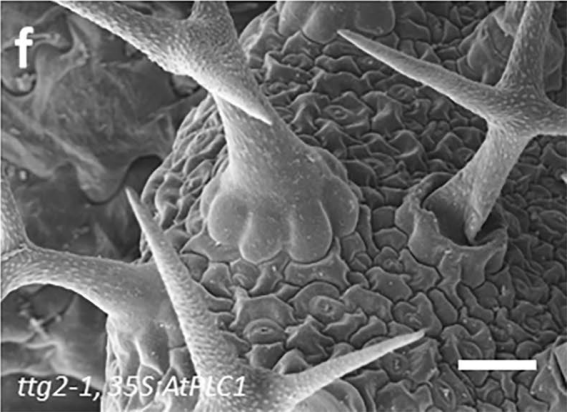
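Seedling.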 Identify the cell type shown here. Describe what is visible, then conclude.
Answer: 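Several tall pointed cells rise from the leaf surface. They split into pointed branches. Their surfaces bear fine papillae. On this evidence: trichomes.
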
